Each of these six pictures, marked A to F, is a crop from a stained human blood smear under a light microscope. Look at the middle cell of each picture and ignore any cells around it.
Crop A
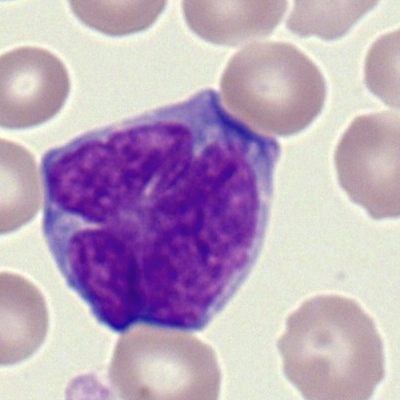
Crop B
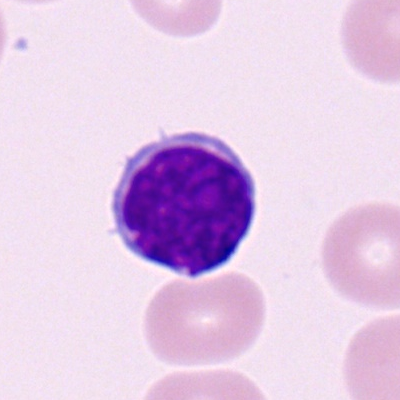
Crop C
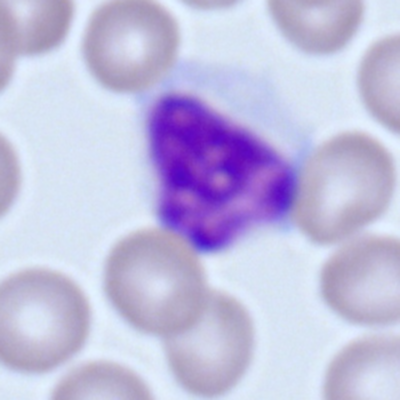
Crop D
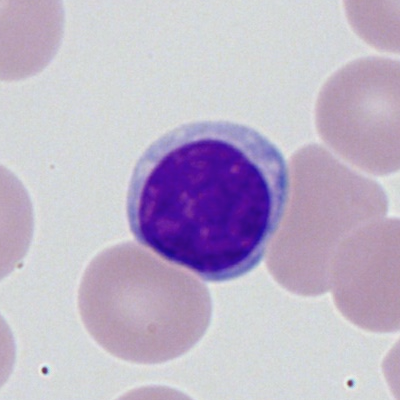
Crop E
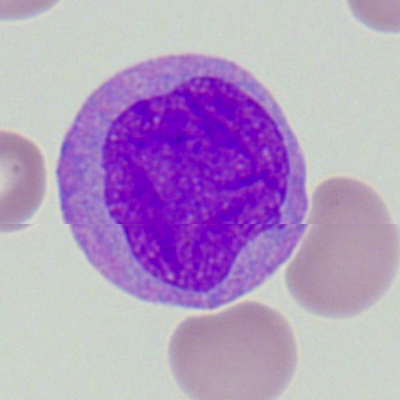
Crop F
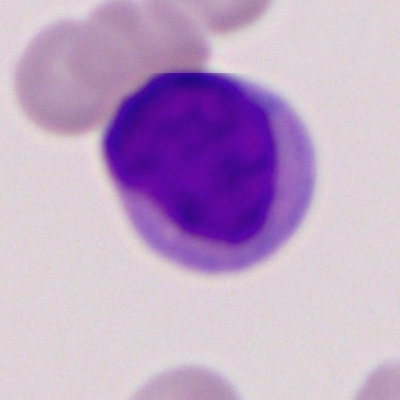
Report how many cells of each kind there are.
myeloblast: 3
lymphocyte: 3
